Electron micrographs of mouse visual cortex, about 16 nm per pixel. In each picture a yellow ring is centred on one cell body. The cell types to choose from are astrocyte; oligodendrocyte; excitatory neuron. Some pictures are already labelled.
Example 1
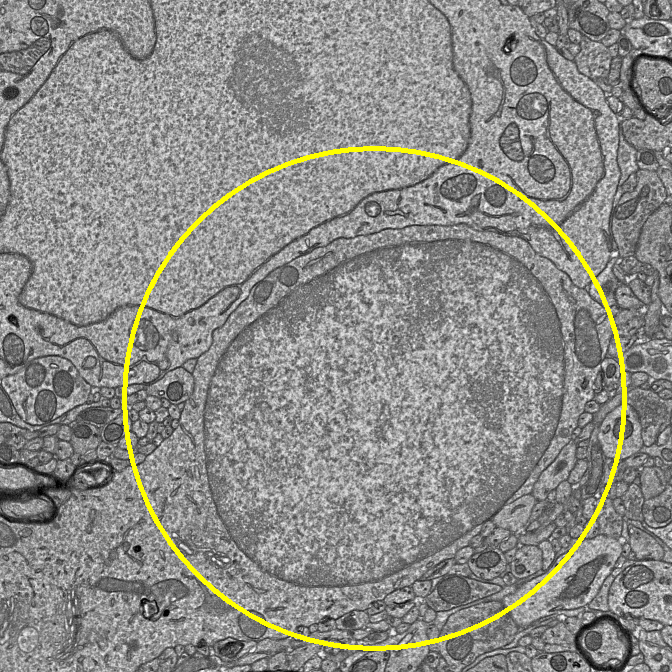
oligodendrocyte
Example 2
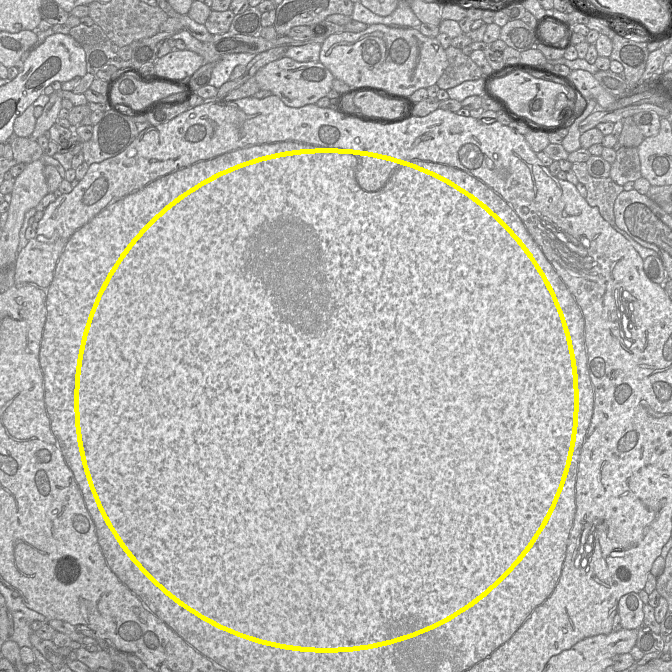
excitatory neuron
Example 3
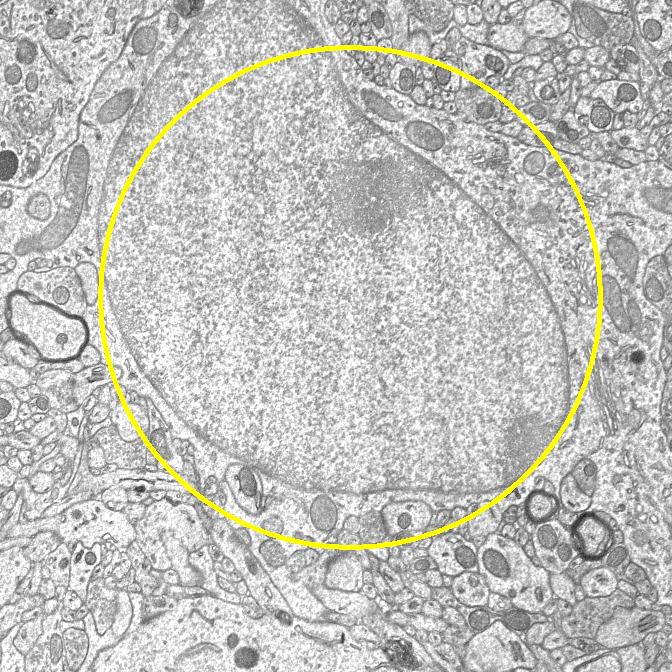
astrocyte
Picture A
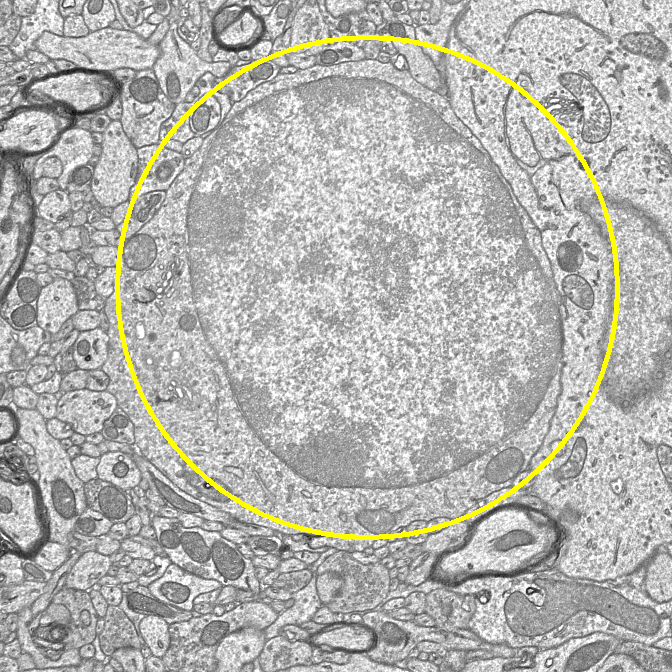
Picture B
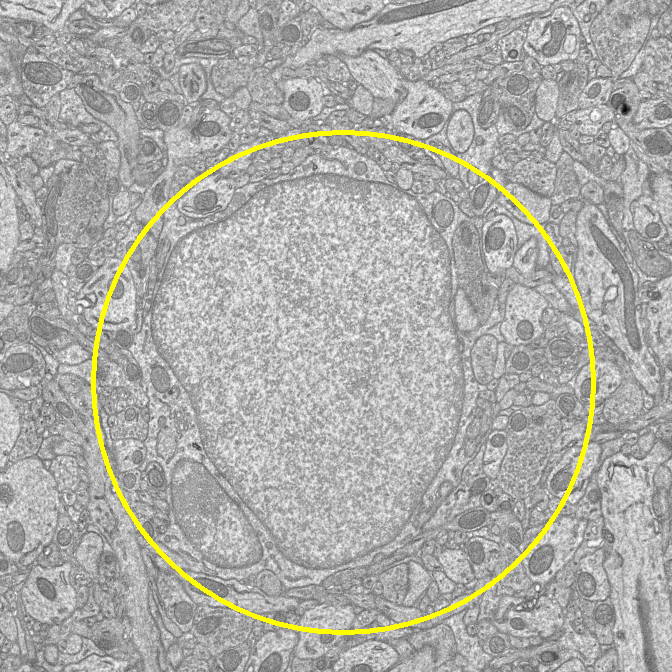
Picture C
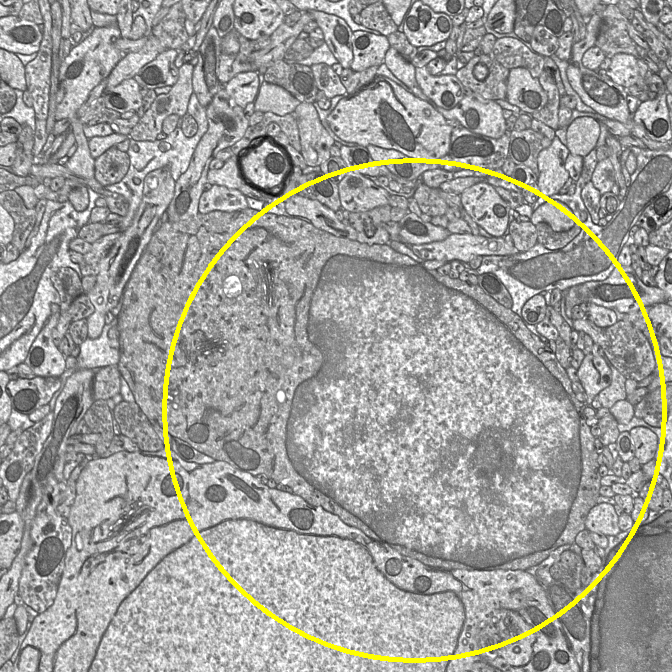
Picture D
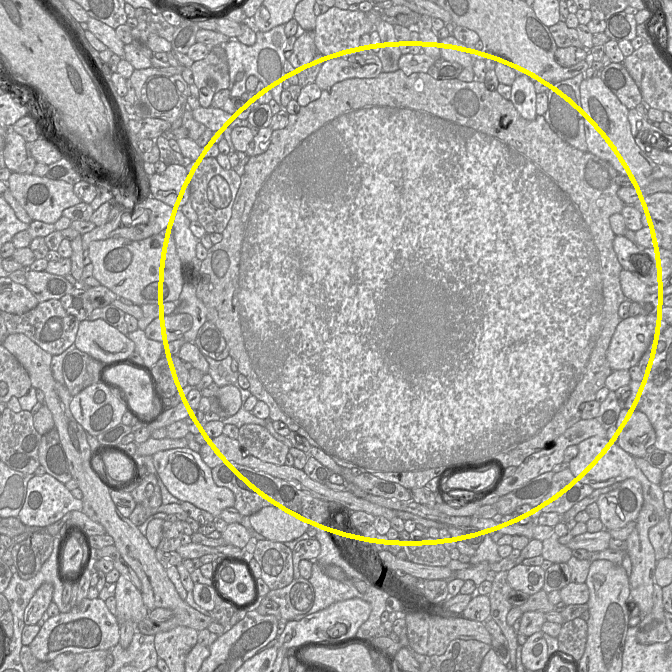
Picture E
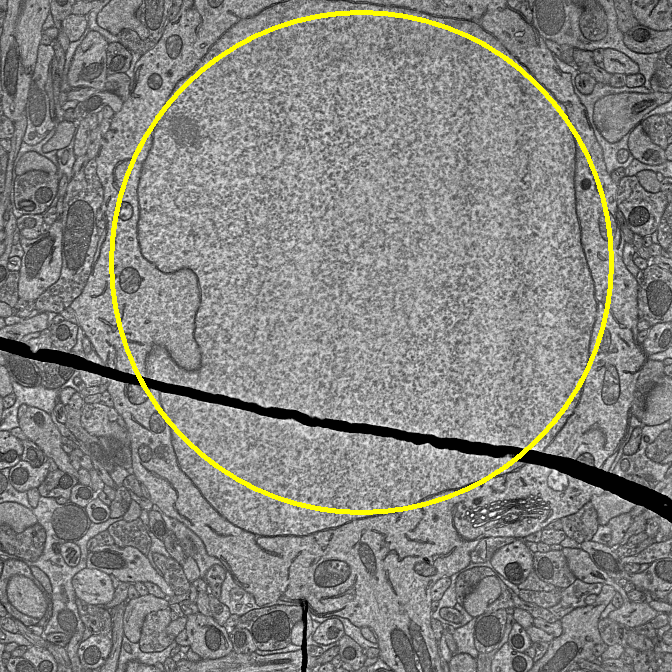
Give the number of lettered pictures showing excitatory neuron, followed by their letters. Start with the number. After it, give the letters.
Count: 1 (E)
